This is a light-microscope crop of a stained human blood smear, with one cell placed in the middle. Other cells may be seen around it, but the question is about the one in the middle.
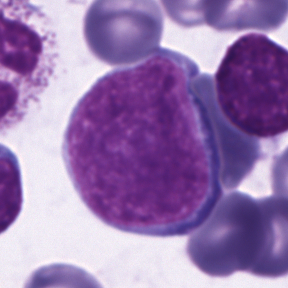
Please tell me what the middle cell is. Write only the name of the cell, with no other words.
blast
